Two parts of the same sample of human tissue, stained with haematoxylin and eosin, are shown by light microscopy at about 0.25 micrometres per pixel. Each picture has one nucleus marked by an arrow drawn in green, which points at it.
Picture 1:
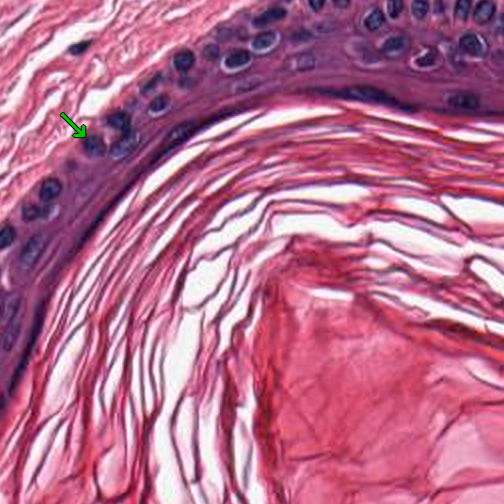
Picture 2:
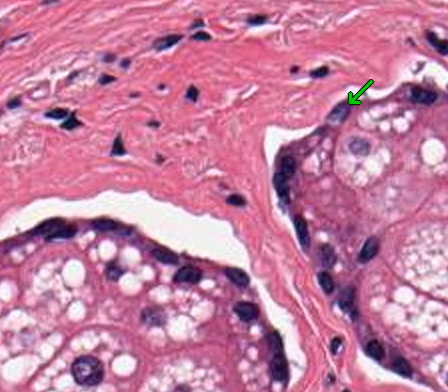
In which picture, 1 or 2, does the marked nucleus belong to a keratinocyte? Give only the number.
1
